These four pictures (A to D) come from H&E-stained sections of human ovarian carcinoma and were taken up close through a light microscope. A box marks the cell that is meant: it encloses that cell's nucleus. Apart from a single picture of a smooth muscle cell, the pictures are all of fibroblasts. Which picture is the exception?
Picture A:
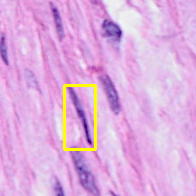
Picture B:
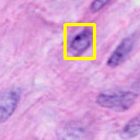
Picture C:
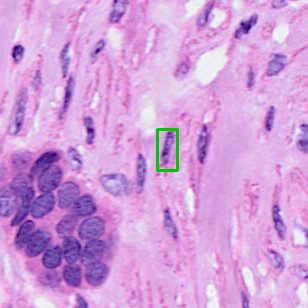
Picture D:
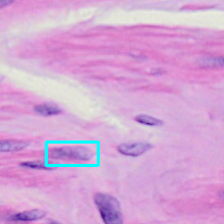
D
